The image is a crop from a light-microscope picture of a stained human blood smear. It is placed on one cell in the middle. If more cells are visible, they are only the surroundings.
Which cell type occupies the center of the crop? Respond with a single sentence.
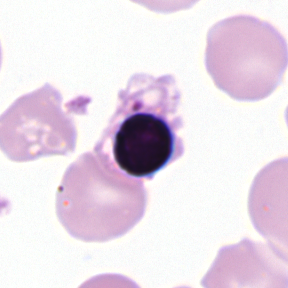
For this crop, the central cell is a normoblast.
